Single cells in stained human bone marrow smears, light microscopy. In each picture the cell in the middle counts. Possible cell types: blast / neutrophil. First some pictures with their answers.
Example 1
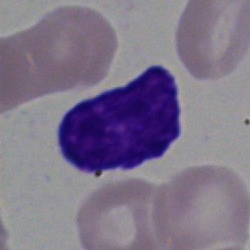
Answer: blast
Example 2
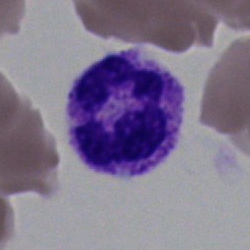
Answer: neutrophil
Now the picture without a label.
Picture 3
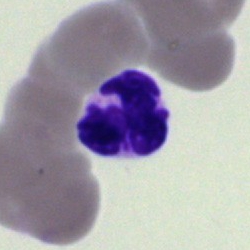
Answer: neutrophil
